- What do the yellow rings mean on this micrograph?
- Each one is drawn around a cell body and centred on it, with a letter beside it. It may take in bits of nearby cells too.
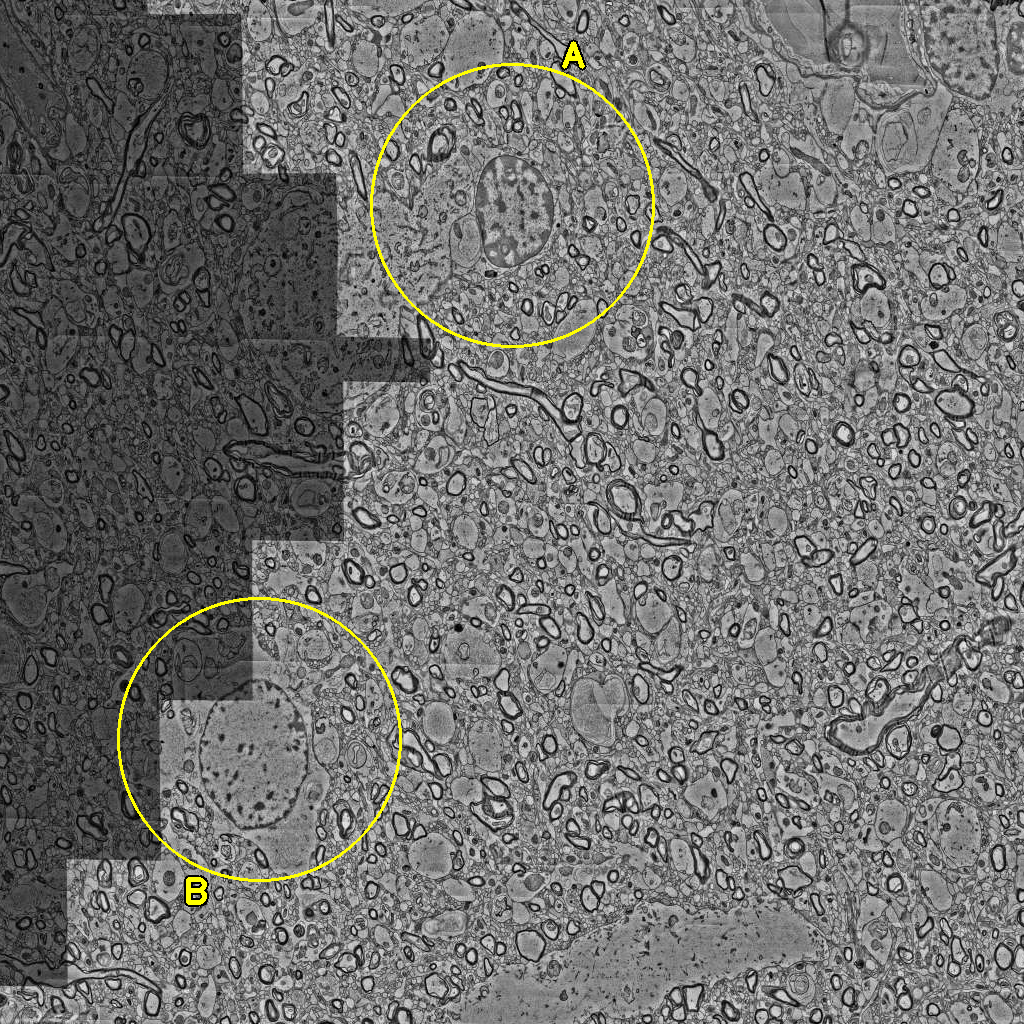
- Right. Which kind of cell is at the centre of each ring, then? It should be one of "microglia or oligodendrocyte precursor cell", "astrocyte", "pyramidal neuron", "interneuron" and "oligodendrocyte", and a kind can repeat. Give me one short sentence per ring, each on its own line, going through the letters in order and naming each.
Ring A circles the cell body of a microglial cell or oligodendrocyte precursor cell.
Ring B circles the cell body of an astrocyte.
